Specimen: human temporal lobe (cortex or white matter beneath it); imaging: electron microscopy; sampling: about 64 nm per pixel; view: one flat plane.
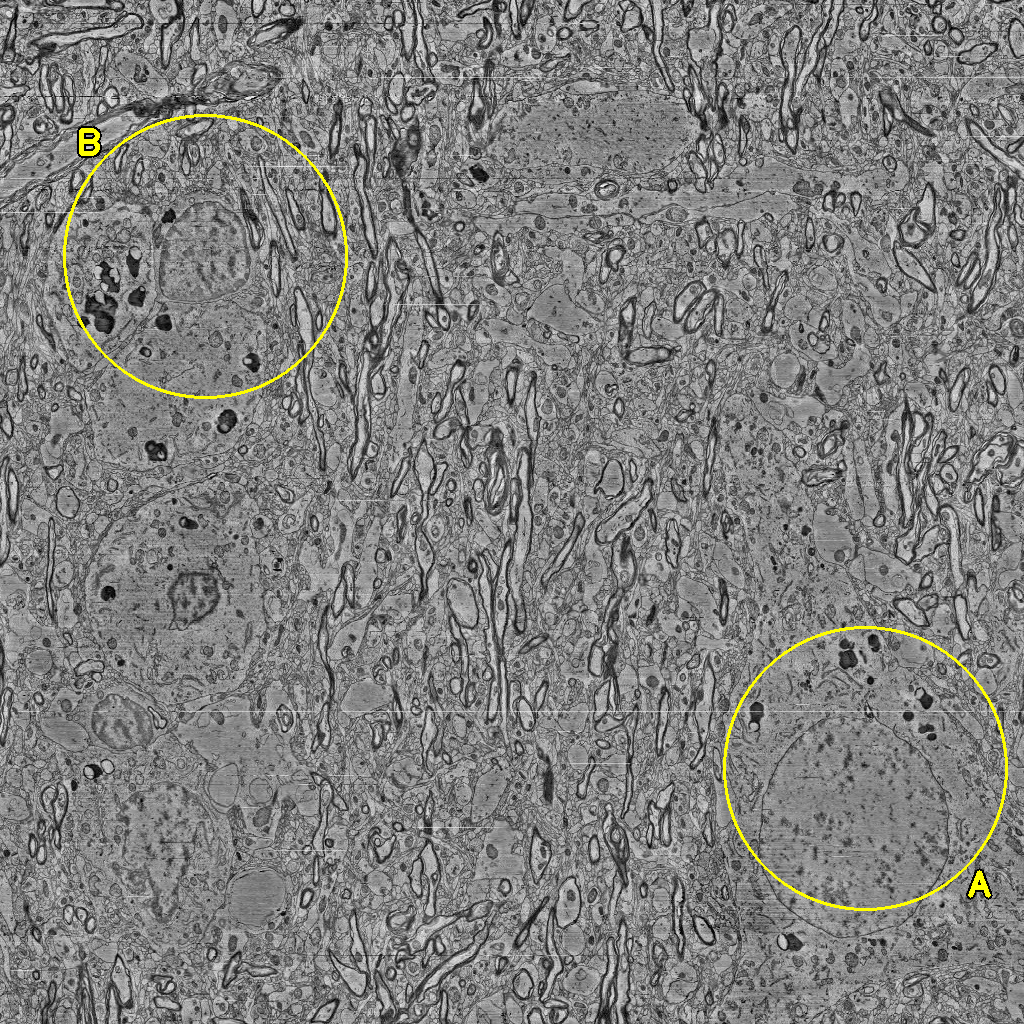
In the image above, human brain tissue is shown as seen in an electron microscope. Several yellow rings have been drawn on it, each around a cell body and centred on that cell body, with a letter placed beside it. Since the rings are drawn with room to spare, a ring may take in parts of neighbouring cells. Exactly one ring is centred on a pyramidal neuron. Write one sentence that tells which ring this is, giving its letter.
The ring marked A is centred on it.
